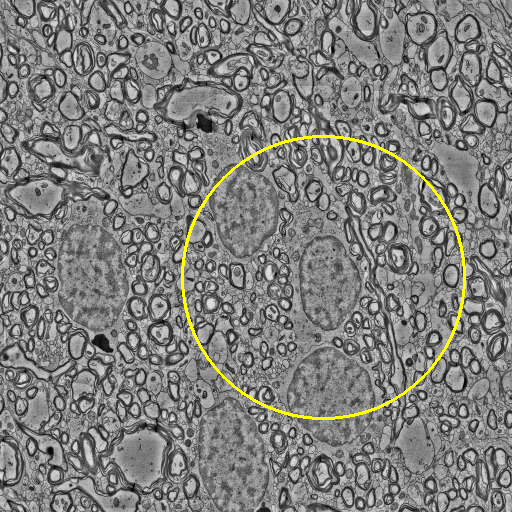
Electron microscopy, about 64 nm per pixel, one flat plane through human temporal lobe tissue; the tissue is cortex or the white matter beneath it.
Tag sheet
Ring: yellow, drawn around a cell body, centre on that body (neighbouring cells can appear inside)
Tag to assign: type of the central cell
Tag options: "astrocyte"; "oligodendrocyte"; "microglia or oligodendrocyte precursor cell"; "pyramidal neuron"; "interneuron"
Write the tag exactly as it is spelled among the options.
oligodendrocyte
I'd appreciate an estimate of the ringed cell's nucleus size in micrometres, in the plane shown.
The nucleus comes to roughly 6 by 4 micrometres in this plane.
